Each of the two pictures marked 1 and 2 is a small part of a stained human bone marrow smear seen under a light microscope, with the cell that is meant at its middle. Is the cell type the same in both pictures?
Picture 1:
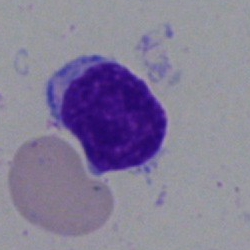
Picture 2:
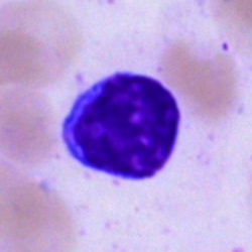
yes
